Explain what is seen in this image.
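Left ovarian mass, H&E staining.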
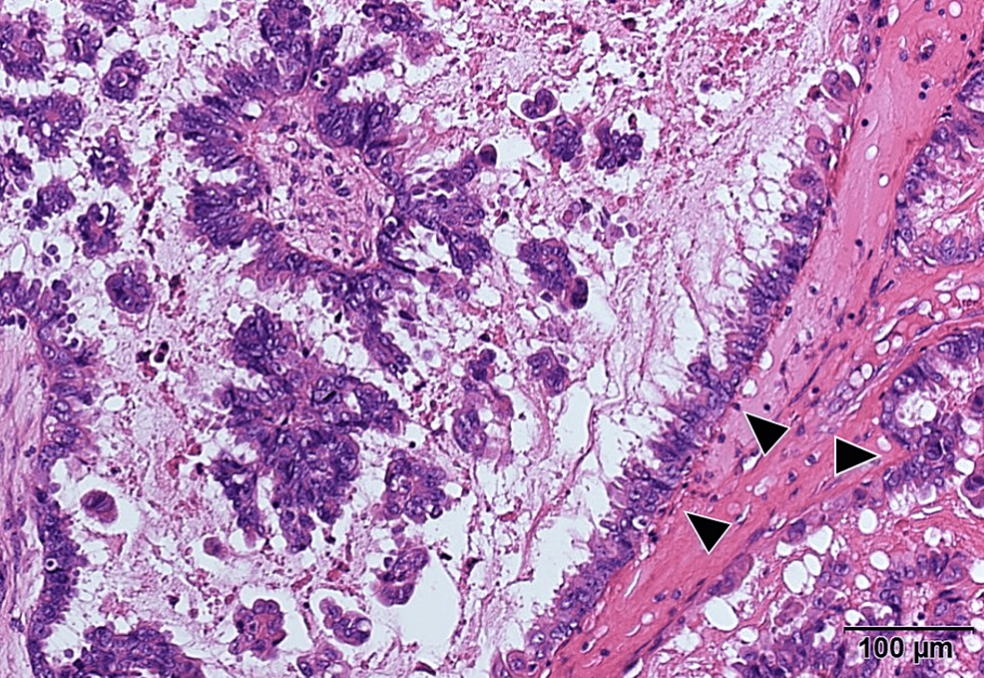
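Columnar to cuboidal cells are stratified and crowded, forming branching papillae with thin pink fibrovascular cores and many small detached cell clusters. These clusters float in a pale, loose, partly mucinous-looking lumen with scattered red cells. Nuclei are enlarged, oval to round and darkly purple, with variable size and some prominent nucleoli. Cytoplasm is pale pink to clear and sometimes vacuolated. A band of dense pink fibrous stroma containing a few spindle cells separates two epithelial-lined spaces. The epithelium abuts this band along a smooth, even border, and no tumour nests lie within it.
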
